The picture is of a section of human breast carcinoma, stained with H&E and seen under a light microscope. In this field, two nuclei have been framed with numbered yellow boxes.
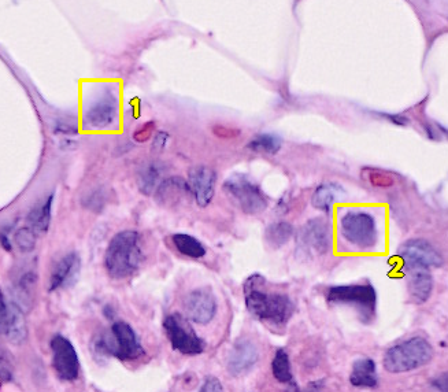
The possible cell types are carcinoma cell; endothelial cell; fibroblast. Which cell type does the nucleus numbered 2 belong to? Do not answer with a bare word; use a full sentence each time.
Marked with the number 2, this cell is a carcinoma cell.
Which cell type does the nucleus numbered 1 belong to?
Looking at the numbered marks, cell 1 is a fibroblast.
